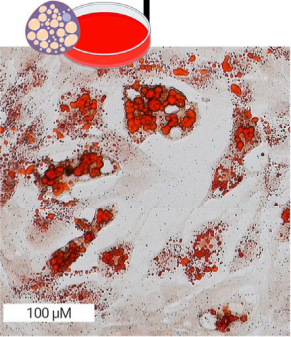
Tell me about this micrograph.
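Scattered flattened cells are packed with numerous round droplets stained orange-red, gathered in their cell bodies, while finer red specks lie over a pale, largely unstained layer of spread cells. These droplet-laden cells are adipocytes.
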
